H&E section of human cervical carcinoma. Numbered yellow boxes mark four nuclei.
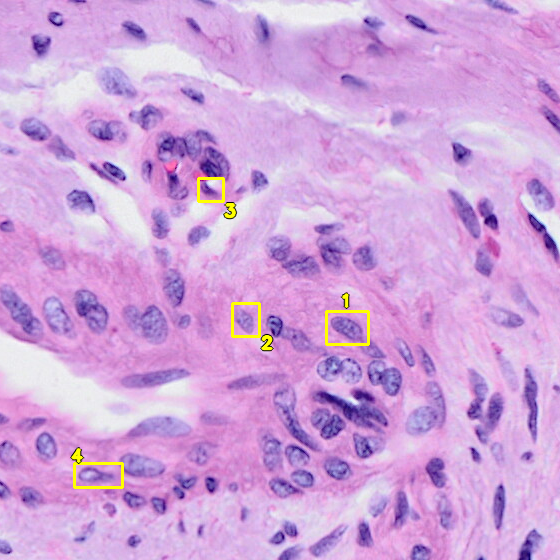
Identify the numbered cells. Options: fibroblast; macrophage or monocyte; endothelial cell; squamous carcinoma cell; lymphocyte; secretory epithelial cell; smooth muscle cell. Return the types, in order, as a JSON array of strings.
["smooth muscle cell", "smooth muscle cell", "endothelial cell", "smooth muscle cell"]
